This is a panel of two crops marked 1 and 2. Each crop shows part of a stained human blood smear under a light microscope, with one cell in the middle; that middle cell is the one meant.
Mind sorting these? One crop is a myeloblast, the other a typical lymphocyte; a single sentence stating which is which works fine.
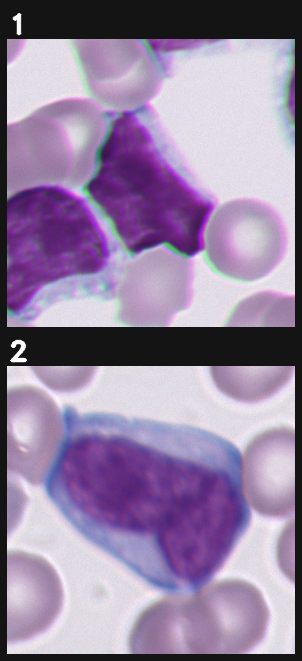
Crop 1 represents a typical lymphocyte, while crop 2 represents a myeloblast.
